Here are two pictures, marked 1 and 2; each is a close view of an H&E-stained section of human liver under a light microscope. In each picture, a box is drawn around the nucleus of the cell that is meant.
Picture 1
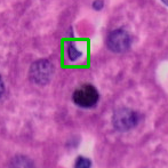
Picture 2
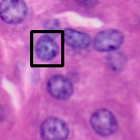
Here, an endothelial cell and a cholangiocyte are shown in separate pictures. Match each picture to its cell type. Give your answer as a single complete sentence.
It is picture 1 that shows an endothelial cell, and picture 2 that shows a cholangiocyte.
